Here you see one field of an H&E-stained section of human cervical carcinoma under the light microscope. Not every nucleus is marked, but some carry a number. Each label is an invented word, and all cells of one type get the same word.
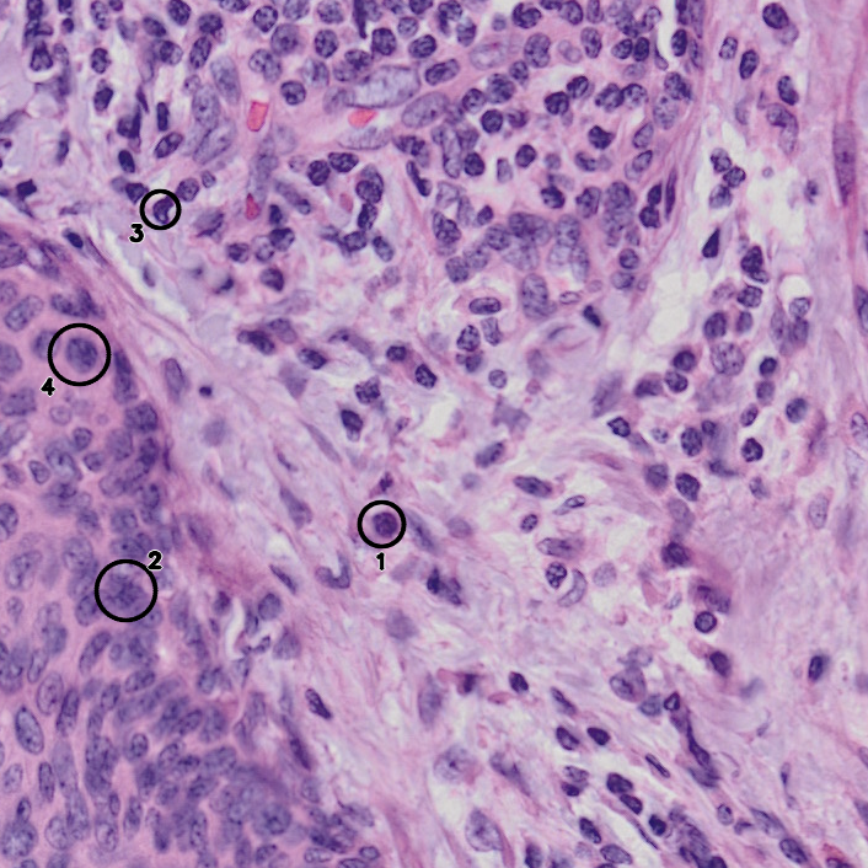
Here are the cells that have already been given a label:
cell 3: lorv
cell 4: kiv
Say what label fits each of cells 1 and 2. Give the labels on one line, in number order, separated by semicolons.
lorv; kiv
